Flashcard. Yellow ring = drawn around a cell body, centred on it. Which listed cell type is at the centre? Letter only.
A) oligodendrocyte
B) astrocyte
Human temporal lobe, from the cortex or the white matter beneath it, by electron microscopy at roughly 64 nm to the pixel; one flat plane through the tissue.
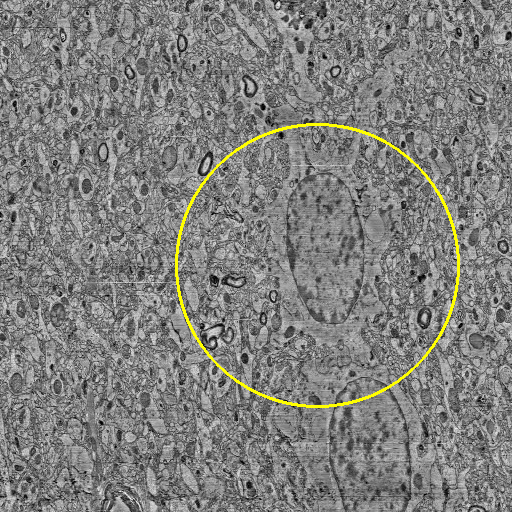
B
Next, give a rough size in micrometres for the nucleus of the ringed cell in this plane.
About 10 by 5 micrometres, the nucleus being clearly longer than it is wide in this plane.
